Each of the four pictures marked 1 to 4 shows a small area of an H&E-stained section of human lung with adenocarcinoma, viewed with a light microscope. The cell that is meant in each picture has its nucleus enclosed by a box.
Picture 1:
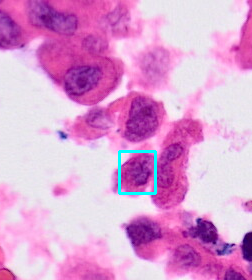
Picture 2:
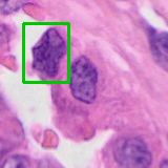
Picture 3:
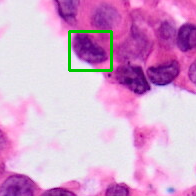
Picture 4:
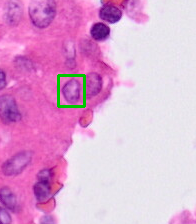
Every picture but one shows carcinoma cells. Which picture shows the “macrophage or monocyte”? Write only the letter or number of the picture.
4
